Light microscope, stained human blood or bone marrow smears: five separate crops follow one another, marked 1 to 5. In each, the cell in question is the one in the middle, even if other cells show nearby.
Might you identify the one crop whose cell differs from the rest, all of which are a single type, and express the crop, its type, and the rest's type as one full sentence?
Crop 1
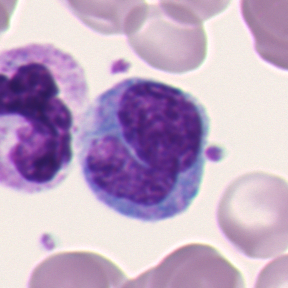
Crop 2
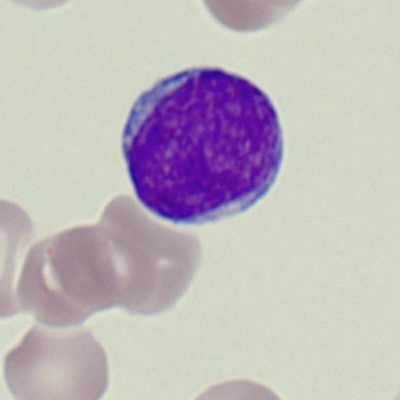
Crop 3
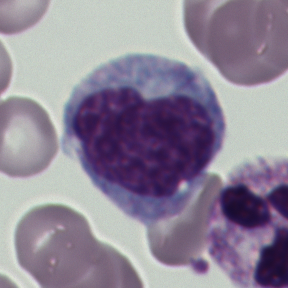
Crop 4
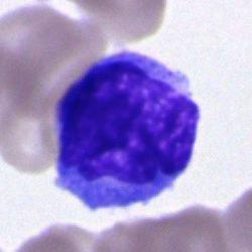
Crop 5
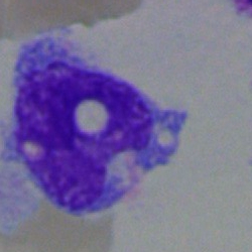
Crop 2 is the different one, a blast, while the rest are monocytes.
